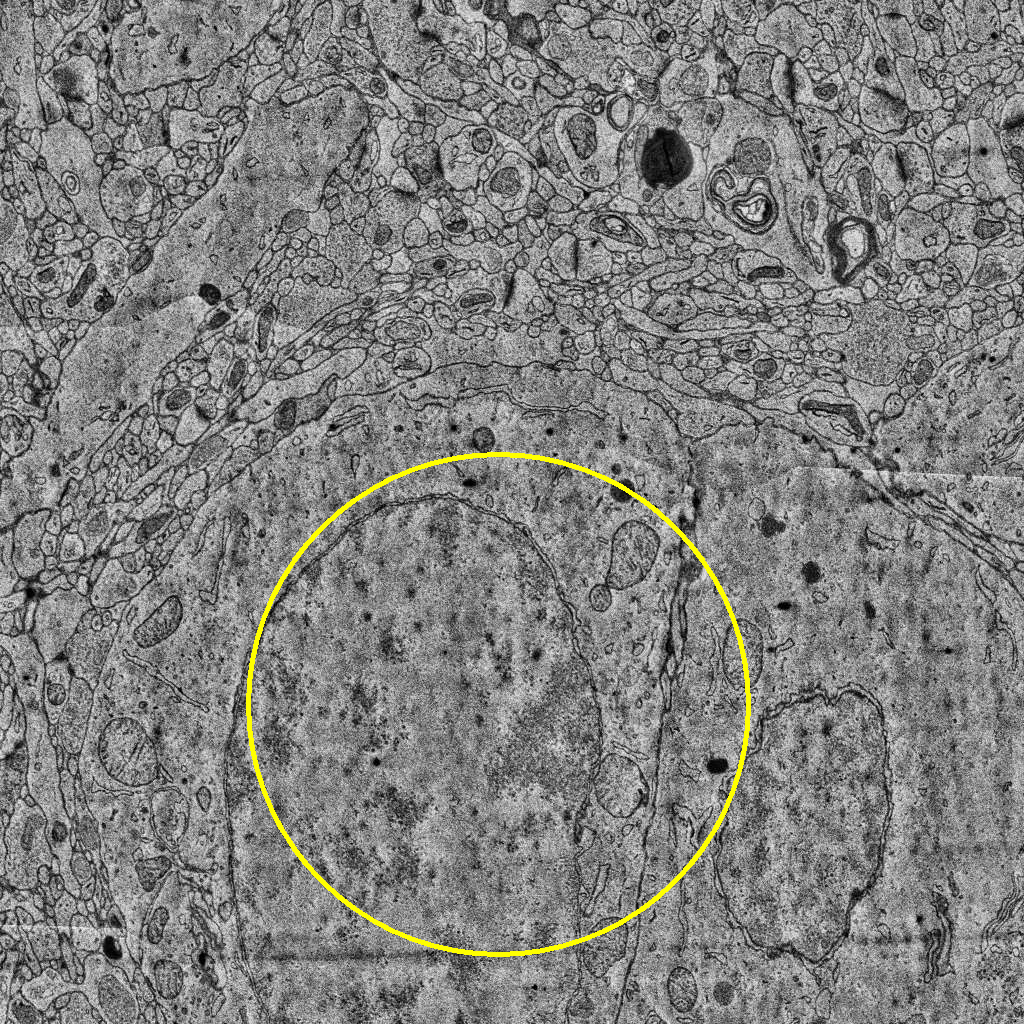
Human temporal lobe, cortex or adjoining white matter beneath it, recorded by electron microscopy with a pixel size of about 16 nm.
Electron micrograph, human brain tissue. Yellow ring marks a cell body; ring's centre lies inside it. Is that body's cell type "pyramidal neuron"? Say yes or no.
yes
